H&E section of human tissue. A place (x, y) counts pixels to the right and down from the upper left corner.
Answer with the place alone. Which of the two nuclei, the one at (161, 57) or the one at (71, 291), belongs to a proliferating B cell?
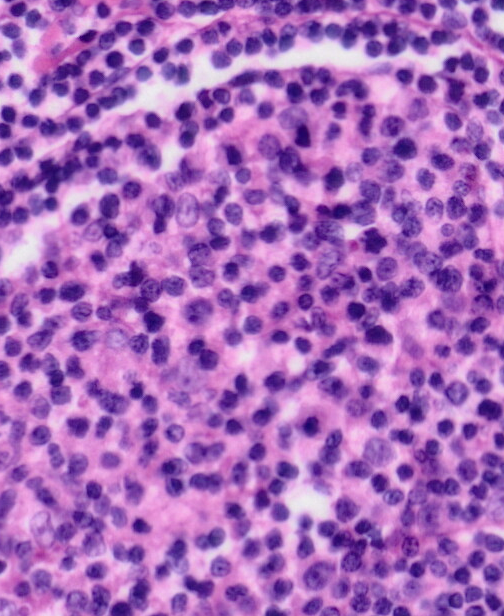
(71, 291)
